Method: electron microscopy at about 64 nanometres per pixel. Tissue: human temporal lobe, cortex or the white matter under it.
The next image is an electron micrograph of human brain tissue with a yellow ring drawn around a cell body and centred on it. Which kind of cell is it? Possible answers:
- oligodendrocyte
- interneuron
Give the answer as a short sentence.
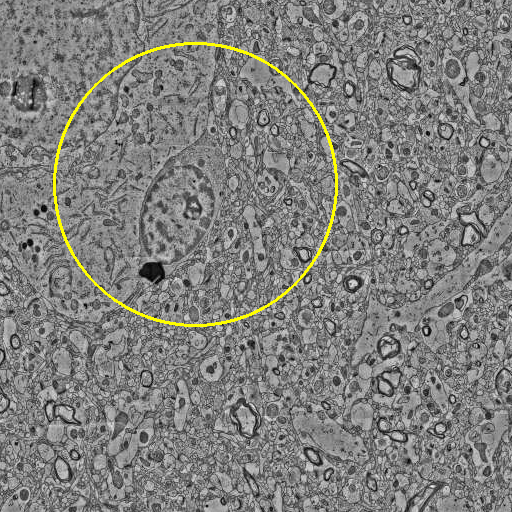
In the ring's centre is an oligodendrocyte.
